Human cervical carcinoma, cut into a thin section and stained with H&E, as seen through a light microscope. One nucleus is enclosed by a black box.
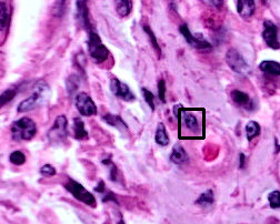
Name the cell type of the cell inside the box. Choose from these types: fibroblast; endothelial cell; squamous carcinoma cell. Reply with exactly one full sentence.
Among the cells in this section, the cell inside the box is an endothelial cell.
